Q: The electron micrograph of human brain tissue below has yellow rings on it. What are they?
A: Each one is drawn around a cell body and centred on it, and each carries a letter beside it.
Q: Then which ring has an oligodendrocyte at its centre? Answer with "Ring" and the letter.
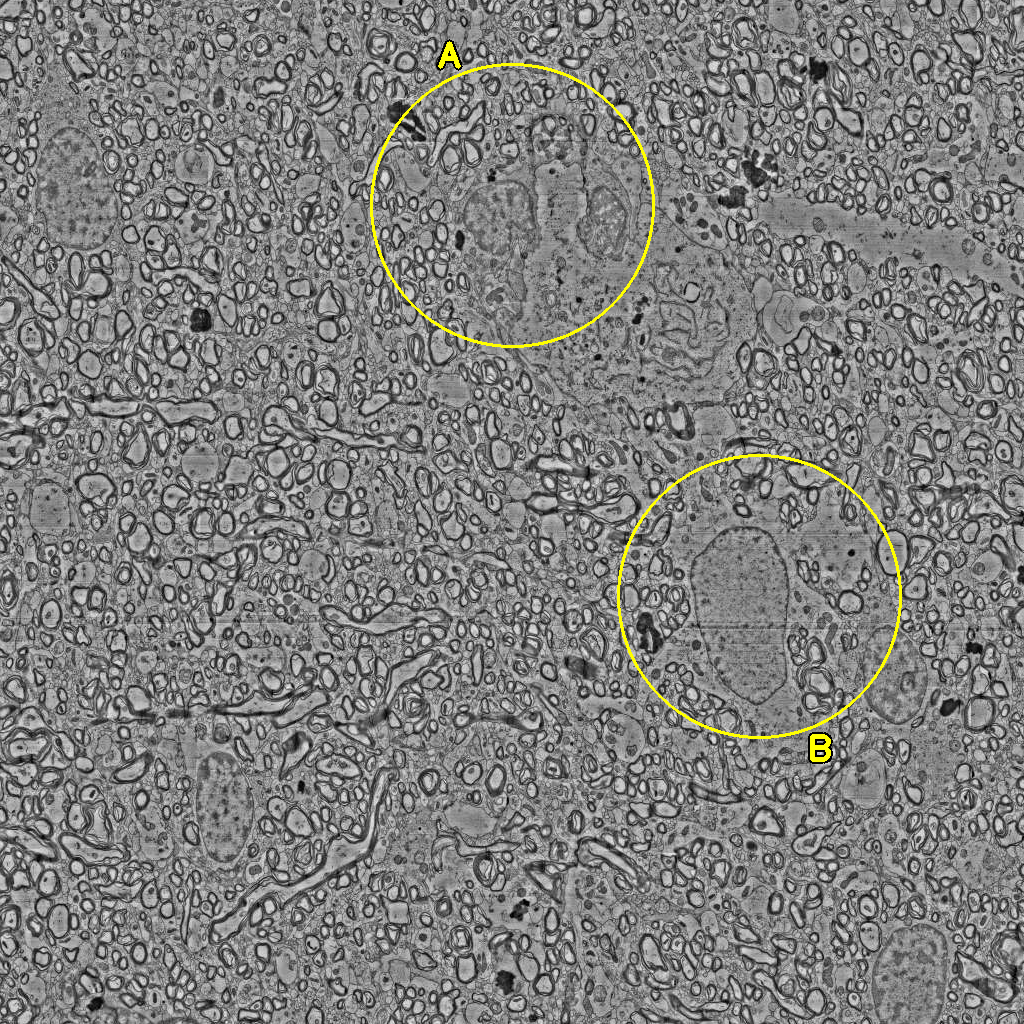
Ring A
